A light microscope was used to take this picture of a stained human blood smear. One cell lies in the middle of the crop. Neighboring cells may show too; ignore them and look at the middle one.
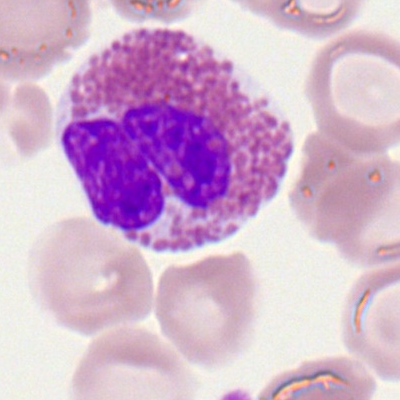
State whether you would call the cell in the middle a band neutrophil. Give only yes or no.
no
